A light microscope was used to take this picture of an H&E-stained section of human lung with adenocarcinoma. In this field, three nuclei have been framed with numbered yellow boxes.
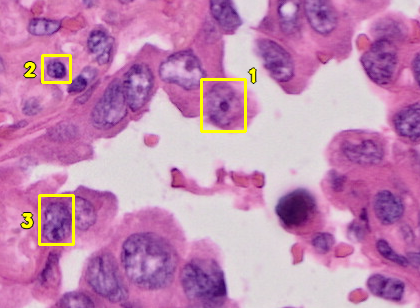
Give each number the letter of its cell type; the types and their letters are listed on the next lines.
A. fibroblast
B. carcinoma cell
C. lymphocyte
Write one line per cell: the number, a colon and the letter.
1: B
2: C
3: B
